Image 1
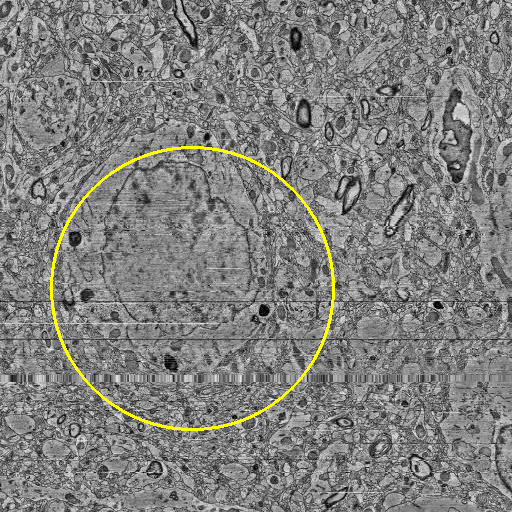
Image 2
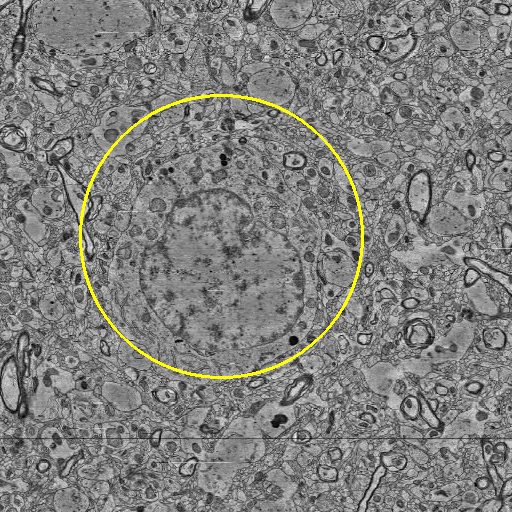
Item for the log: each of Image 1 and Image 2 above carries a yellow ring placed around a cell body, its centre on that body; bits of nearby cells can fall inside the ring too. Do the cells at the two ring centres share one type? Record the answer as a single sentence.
No, the two cells at the ring centres in Image 1 and Image 2 are of two types.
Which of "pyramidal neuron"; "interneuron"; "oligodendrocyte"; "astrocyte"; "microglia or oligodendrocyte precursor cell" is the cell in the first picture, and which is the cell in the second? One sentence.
The two differ: the first cell is a pyramidal neuron and the second is an interneuron.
